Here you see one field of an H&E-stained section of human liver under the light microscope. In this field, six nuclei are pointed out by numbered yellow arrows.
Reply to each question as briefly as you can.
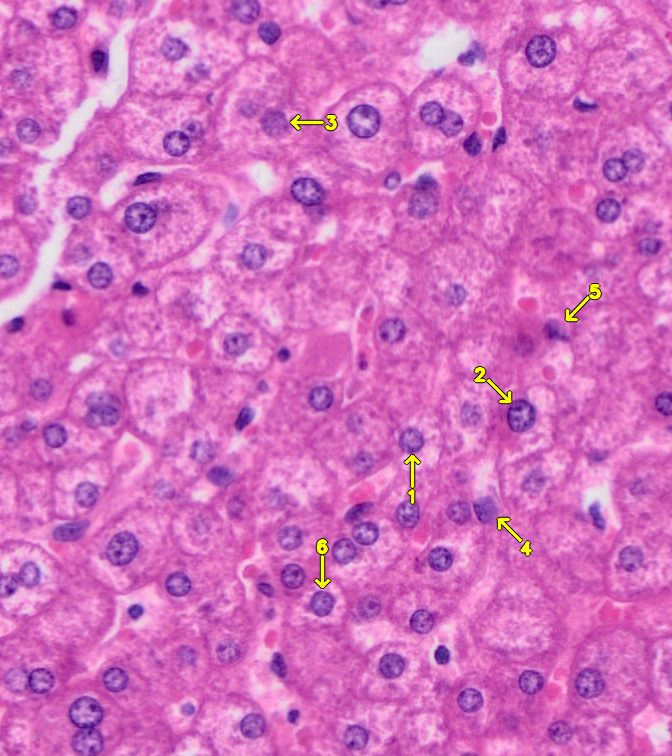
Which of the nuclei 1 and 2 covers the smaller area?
1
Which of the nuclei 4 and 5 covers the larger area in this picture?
4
